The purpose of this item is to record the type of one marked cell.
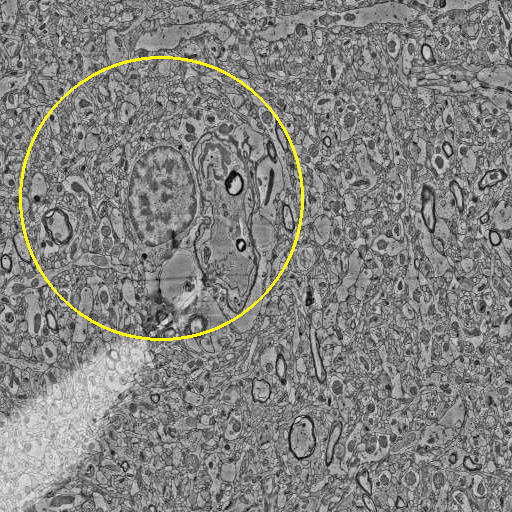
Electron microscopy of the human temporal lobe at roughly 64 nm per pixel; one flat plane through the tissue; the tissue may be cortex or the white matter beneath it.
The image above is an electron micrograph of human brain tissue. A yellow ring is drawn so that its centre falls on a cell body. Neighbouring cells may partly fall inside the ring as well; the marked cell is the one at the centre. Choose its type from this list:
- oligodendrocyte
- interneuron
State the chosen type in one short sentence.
What the ring marks here is an oligodendrocyte.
